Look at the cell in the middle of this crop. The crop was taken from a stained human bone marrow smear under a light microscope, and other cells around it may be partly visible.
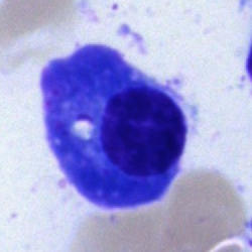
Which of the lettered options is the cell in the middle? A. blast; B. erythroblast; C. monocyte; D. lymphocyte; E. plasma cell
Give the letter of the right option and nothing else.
E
